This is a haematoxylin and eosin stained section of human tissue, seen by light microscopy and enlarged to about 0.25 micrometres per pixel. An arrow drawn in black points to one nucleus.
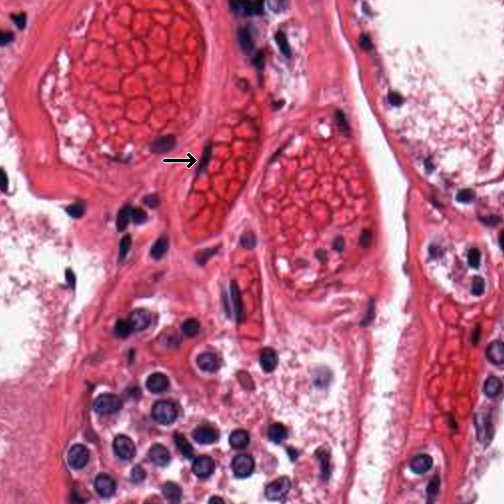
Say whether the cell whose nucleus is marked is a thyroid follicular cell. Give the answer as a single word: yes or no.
no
